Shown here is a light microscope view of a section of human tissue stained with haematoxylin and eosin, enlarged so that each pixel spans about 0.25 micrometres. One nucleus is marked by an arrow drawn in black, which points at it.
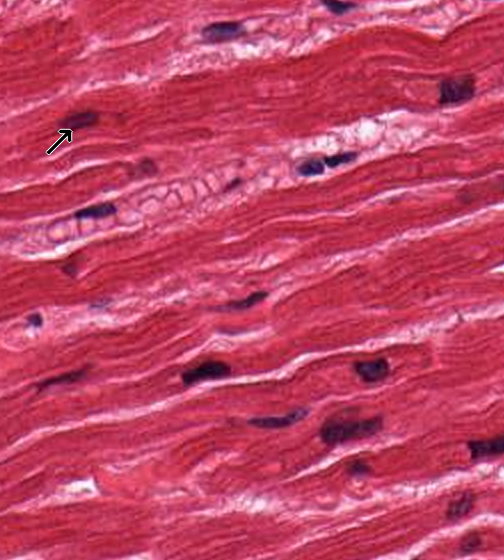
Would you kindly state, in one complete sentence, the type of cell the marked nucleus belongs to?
Located in a cardiomyocyte is the marked nucleus.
